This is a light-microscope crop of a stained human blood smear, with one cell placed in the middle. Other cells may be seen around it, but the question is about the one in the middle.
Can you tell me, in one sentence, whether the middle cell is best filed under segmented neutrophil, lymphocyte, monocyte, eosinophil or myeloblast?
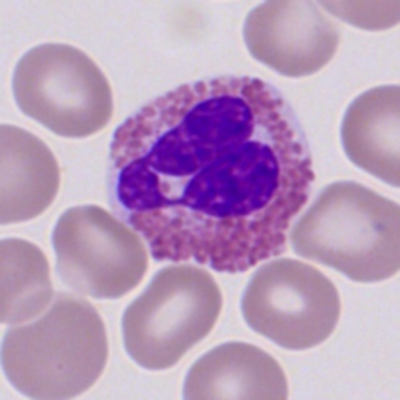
The single cell at the center of the crop is an eosinophil.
